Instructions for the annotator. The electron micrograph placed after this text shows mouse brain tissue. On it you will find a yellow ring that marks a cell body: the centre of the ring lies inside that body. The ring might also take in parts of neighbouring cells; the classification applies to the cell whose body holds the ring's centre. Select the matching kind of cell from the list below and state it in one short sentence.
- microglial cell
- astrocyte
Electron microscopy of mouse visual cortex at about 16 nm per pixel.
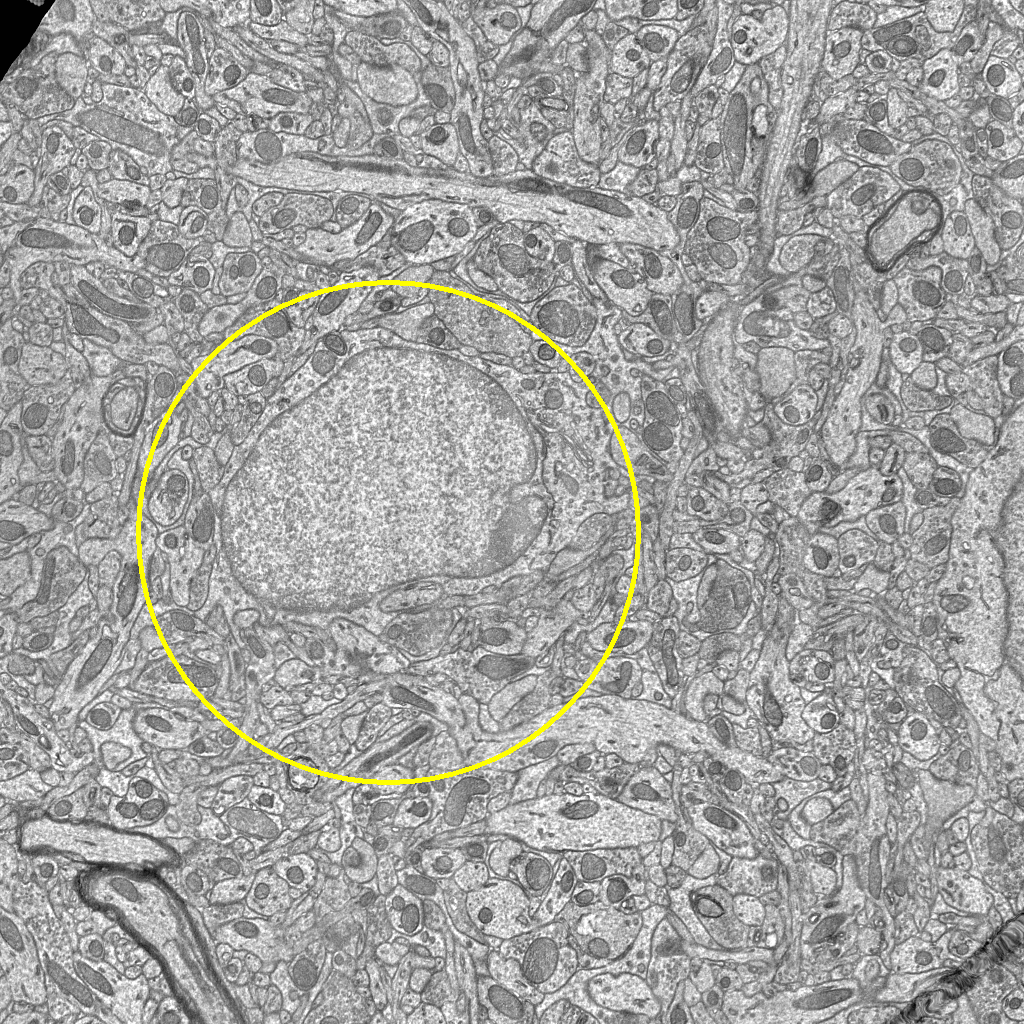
The centre of the ring lies in the cell body of an astrocyte.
